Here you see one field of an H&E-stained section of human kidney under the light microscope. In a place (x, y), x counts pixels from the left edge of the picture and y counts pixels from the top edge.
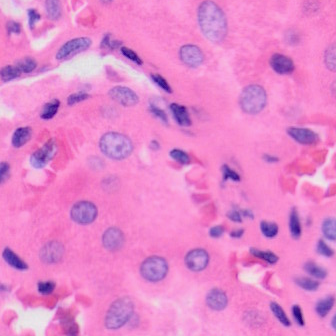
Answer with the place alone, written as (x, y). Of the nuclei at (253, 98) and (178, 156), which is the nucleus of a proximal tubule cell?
(253, 98)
